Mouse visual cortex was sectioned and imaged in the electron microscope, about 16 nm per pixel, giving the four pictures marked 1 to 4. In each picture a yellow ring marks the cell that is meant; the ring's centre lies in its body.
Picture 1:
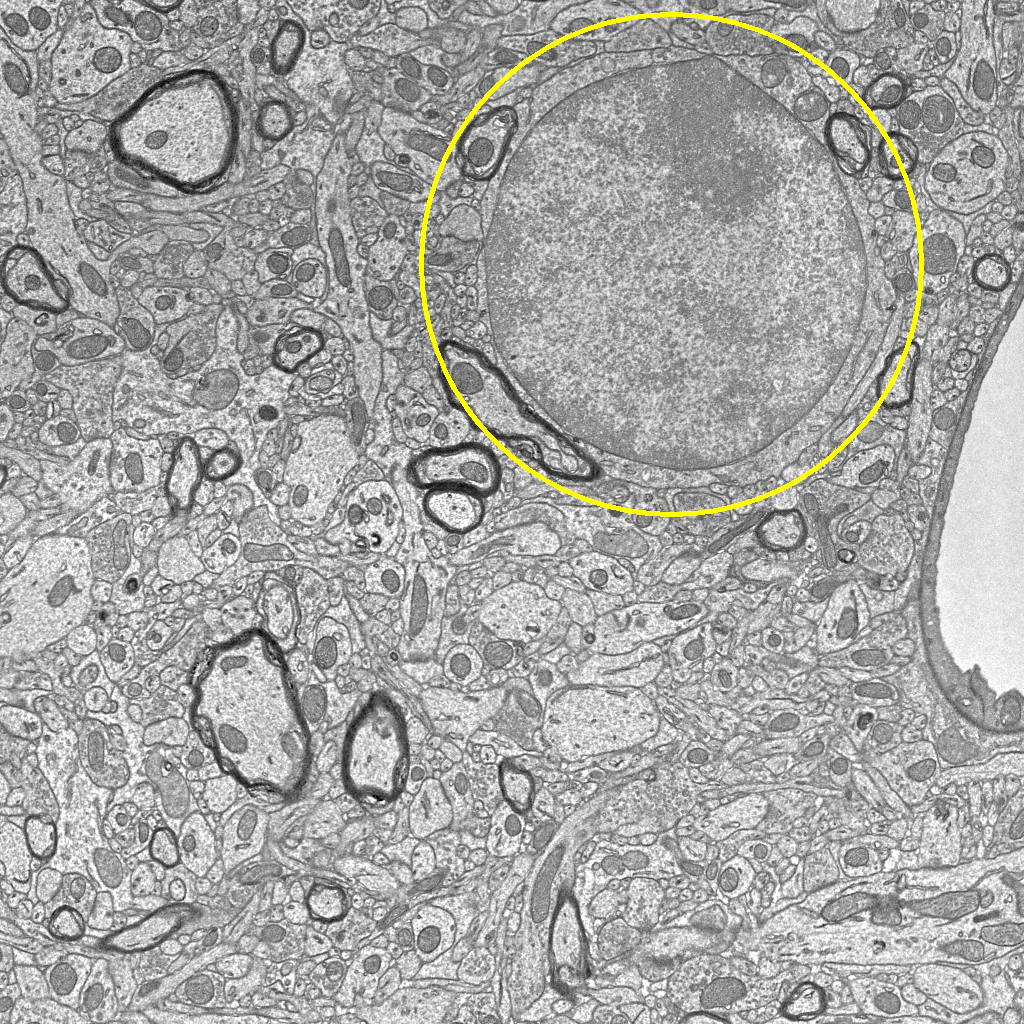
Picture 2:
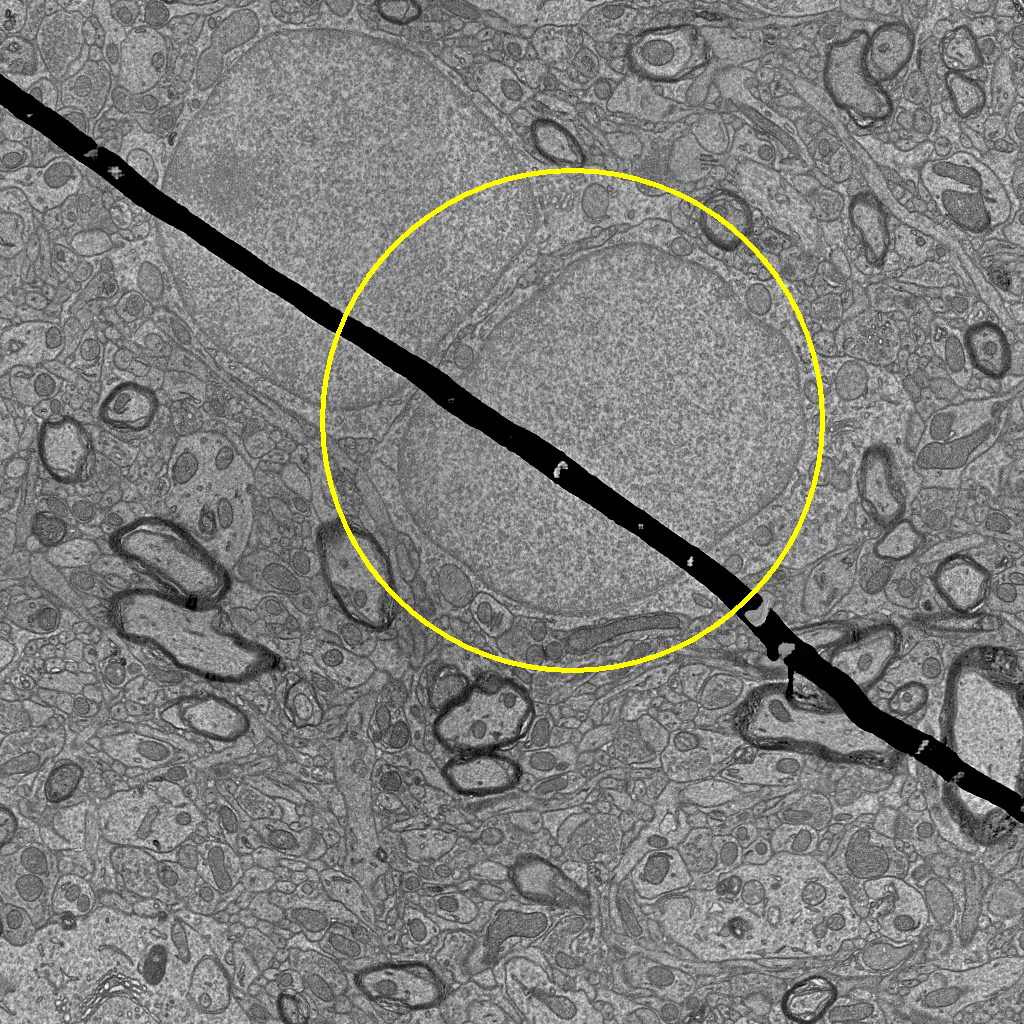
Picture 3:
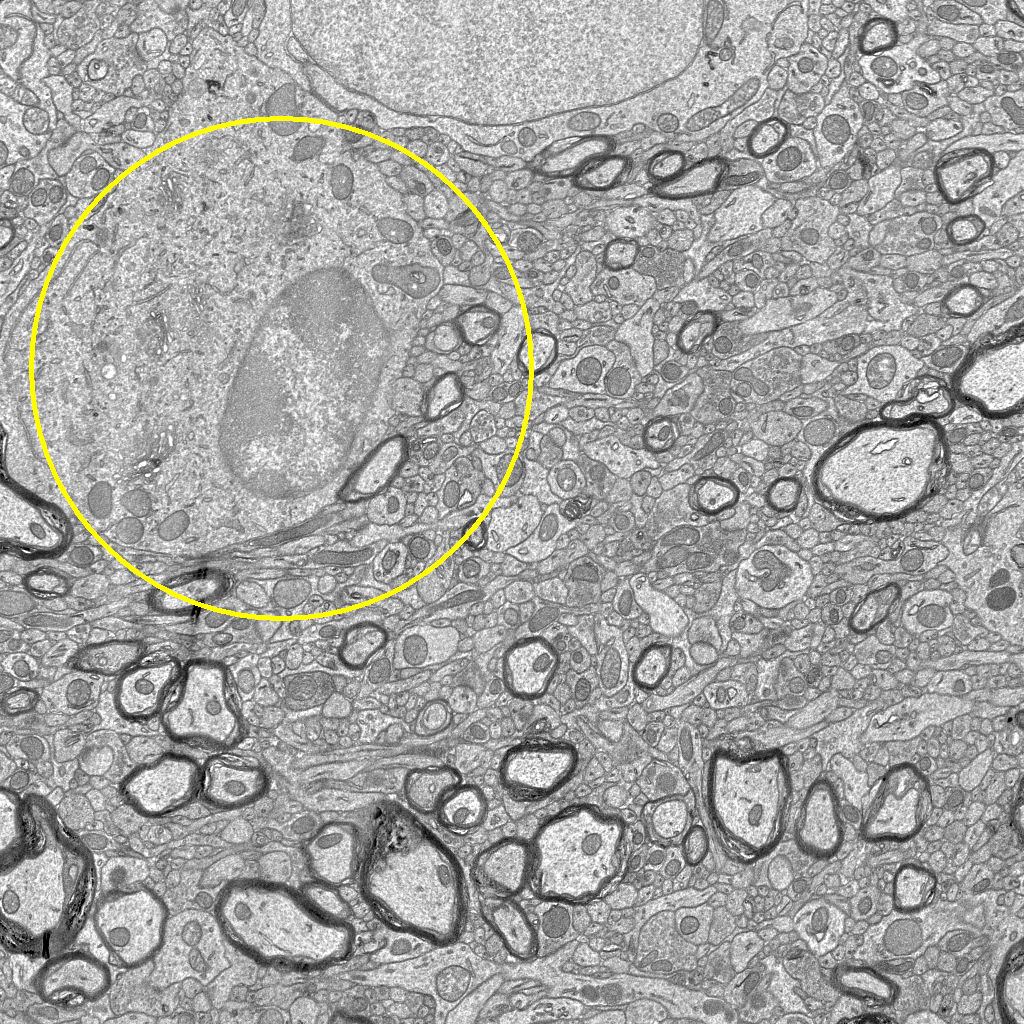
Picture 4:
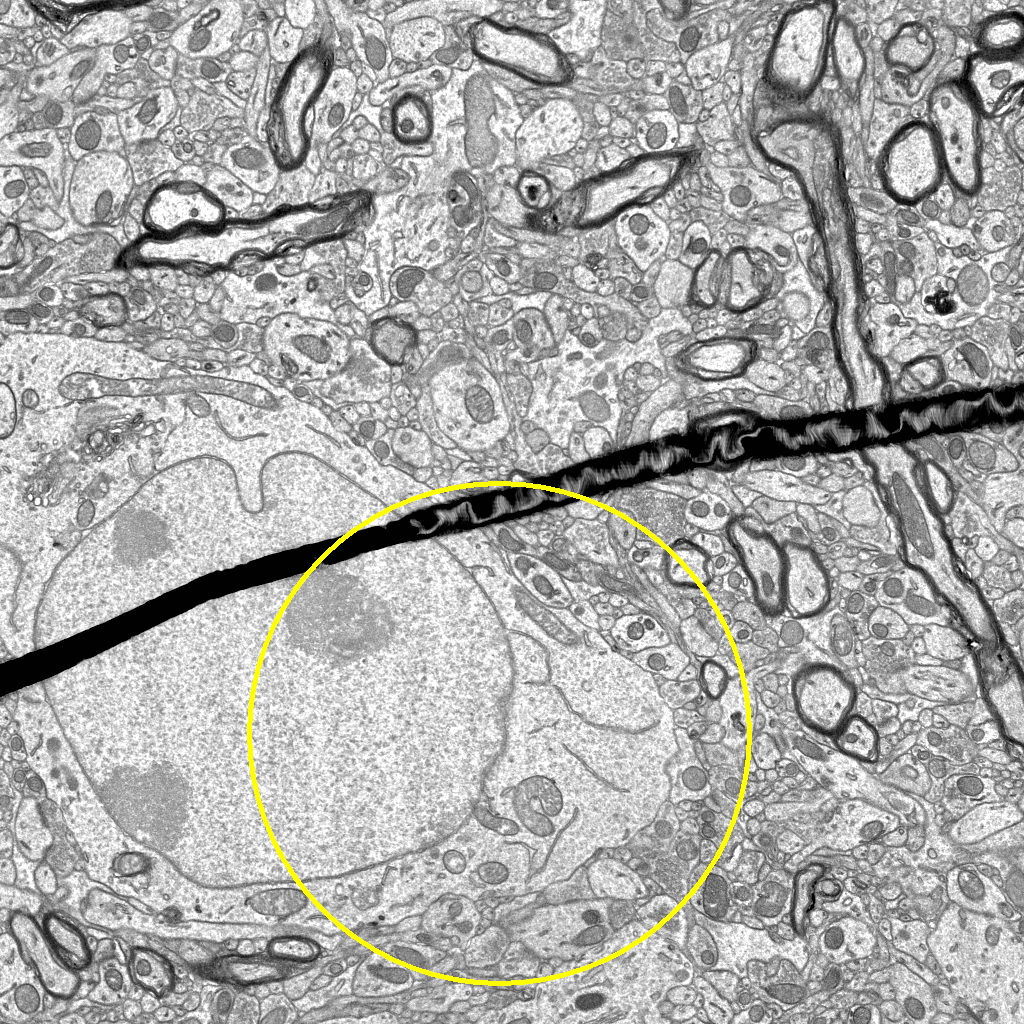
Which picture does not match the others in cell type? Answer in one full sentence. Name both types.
Picture 2 differs, because its cell is an astrocyte and the rest are oligodendrocytes.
